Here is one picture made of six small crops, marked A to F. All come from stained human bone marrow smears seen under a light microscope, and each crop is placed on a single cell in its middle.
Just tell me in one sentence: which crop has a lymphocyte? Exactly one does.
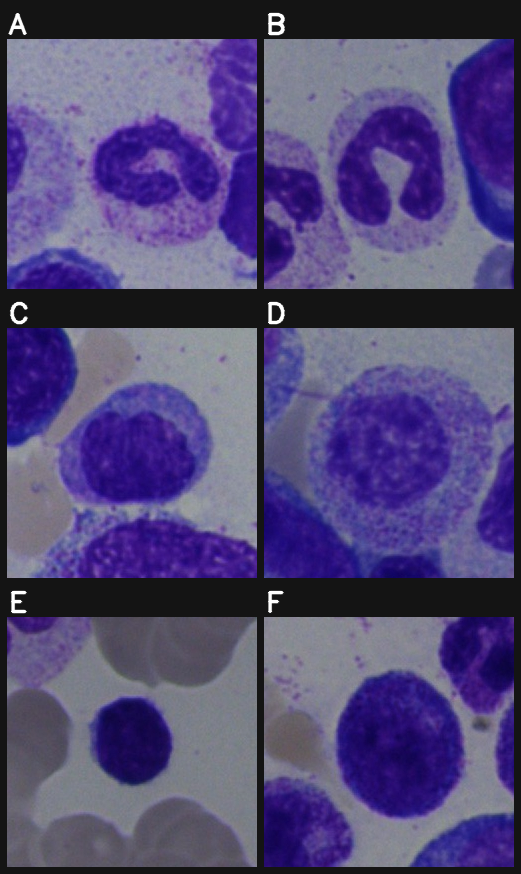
The crop with a lymphocyte in it is crop E.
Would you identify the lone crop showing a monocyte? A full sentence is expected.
Crop C is identified as the crop showing a monocyte.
